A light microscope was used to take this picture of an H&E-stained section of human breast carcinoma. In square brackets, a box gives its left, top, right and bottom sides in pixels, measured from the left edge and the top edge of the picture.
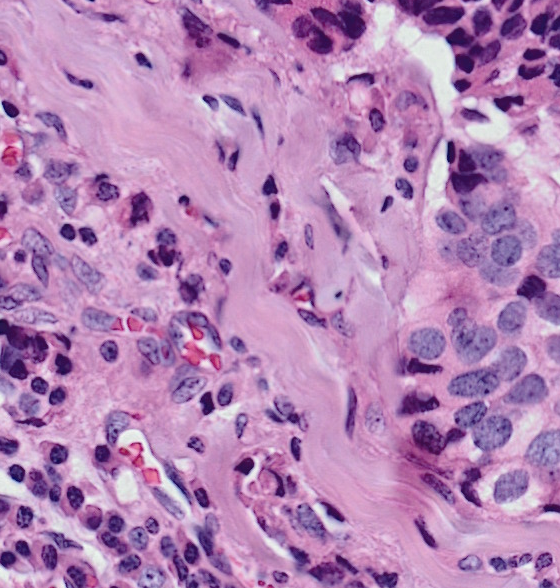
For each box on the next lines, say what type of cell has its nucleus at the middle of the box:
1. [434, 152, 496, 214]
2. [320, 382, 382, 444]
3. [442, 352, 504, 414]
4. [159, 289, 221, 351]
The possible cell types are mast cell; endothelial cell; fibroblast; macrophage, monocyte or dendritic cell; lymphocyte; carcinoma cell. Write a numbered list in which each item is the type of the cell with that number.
1. carcinoma cell
2. fibroblast
3. carcinoma cell
4. endothelial cell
